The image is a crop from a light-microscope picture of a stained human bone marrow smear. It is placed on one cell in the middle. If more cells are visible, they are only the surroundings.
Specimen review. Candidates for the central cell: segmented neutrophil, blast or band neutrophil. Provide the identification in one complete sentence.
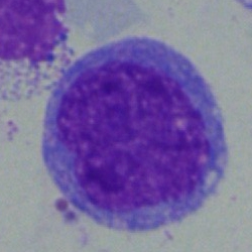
In this smear crop, the middle cell is a blast.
